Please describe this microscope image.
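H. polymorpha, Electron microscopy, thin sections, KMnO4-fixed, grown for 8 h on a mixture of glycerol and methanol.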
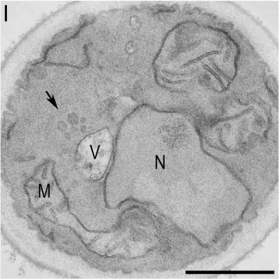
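This is a section through a whole yeast cell, bounded by a thick, pale cell wall. A large irregular nucleus fills the middle, outlined by its envelope. Beside it sits a smaller vacuole with pale, flocculent content. Several mitochondria lie near the cell edge, their folded inner membranes showing as stacked lines. Near the vacuole, an arrow picks out a small cluster of tiny round bodies, each bounded by a membrane and with an even grey matrix; these are small peroxisomes, grouped together rather than scattered through the cytoplasm.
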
